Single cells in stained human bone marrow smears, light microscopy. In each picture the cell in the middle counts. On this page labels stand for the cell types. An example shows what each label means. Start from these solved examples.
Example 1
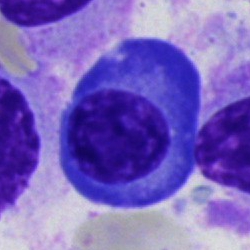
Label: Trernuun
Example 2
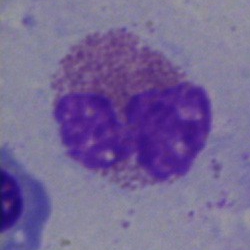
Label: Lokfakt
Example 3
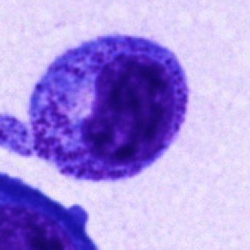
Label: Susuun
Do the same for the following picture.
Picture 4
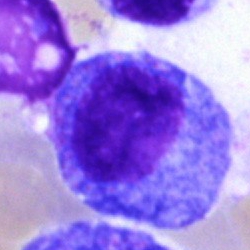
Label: Susuun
